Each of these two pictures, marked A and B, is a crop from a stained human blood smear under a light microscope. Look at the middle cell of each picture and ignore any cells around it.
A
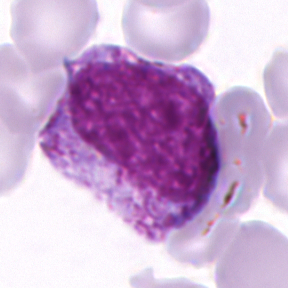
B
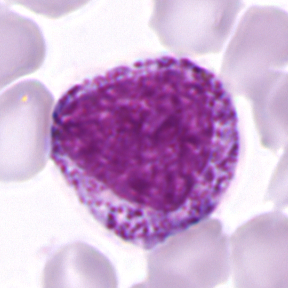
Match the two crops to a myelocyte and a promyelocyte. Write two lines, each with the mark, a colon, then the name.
A: promyelocyte
B: myelocyte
